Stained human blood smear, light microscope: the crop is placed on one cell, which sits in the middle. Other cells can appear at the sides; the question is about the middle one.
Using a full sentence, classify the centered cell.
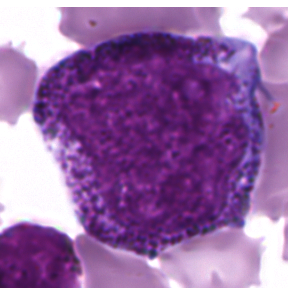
The cell sitting right in the middle is a promyelocyte.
